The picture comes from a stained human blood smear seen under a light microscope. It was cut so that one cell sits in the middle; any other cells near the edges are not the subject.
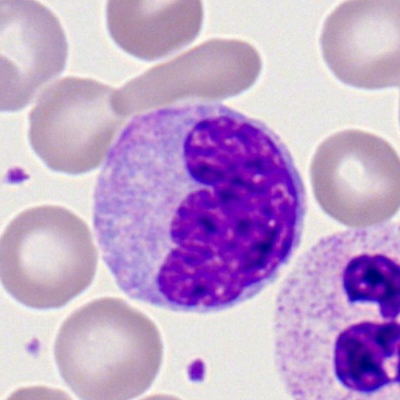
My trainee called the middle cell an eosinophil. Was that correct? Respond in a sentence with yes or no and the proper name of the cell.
No, the label for the central cell is a monocyte, not an eosinophil.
